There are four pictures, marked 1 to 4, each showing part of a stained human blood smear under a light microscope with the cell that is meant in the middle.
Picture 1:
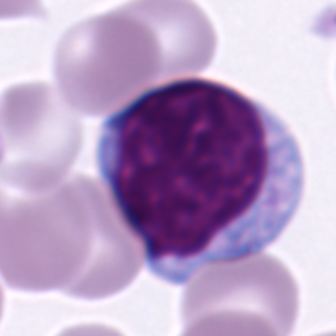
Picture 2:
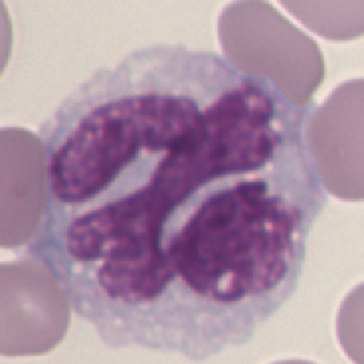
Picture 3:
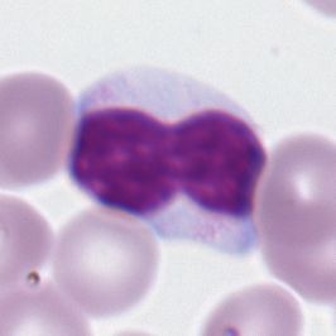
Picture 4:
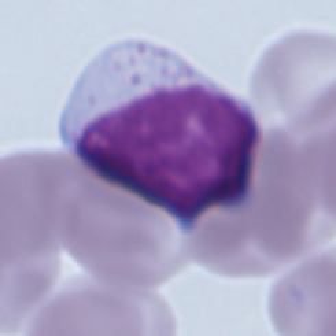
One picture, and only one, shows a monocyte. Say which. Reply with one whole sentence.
The monocyte is the one in picture 2.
